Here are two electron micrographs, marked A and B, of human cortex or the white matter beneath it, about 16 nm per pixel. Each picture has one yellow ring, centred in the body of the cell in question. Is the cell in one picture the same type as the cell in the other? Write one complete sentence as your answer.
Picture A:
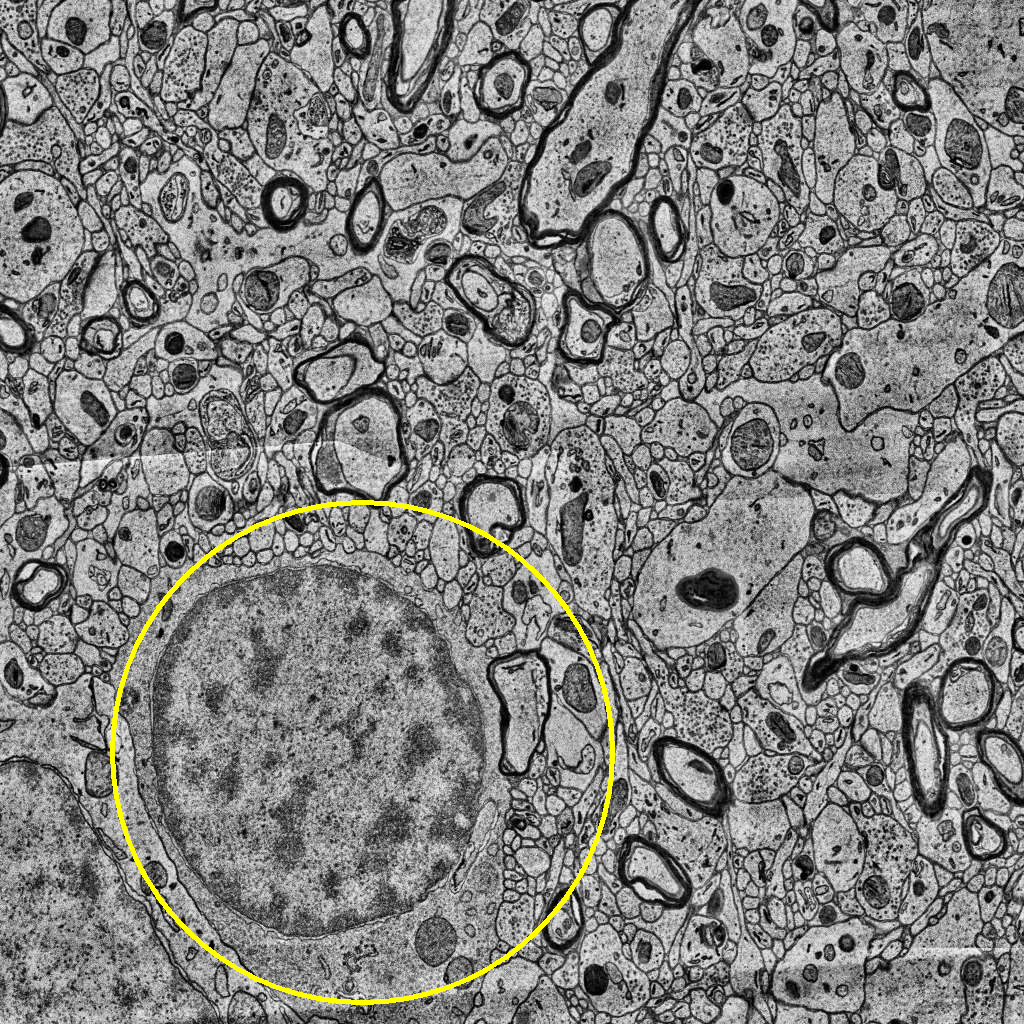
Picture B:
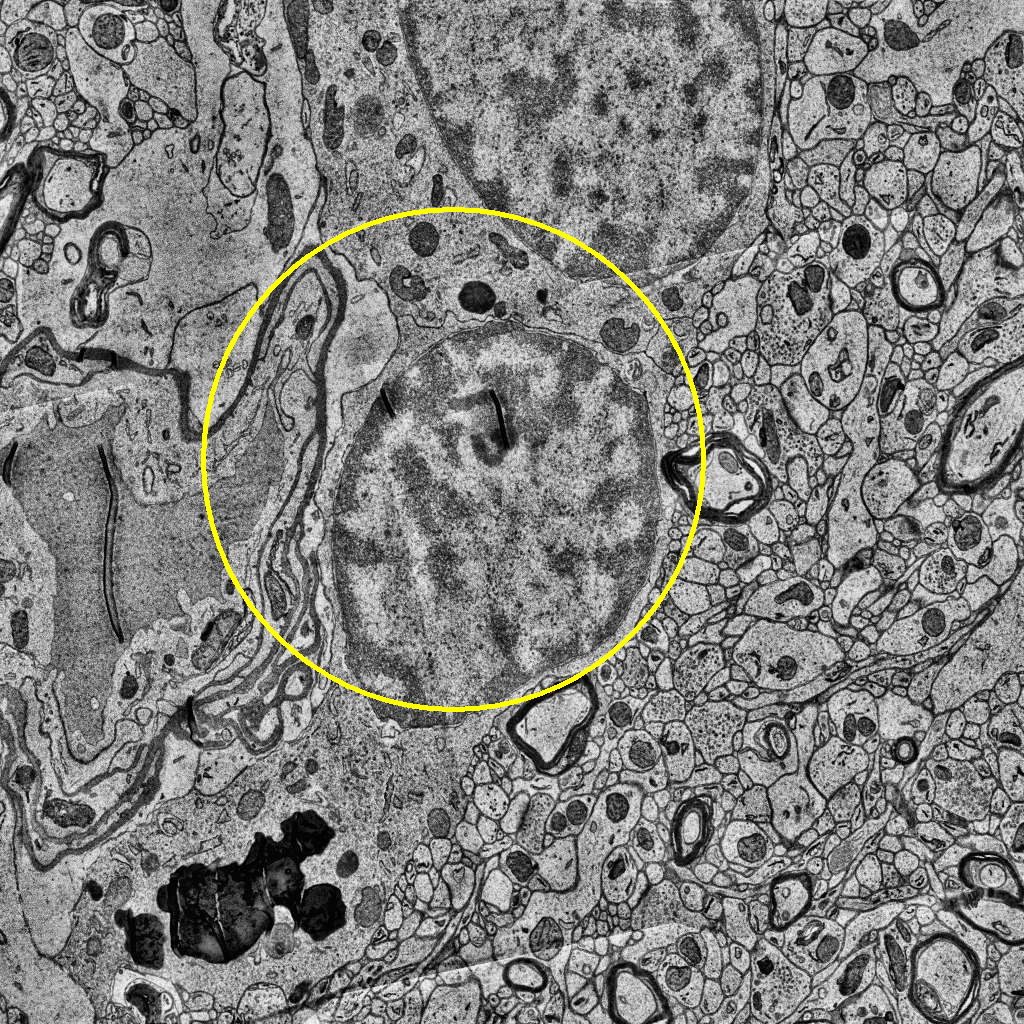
Yes, both are oligodendrocytes.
